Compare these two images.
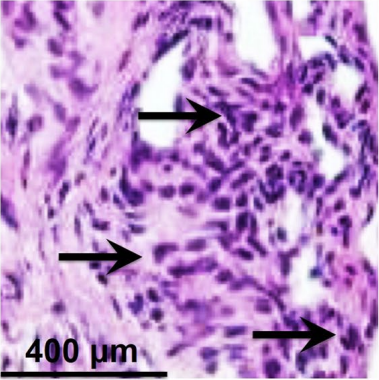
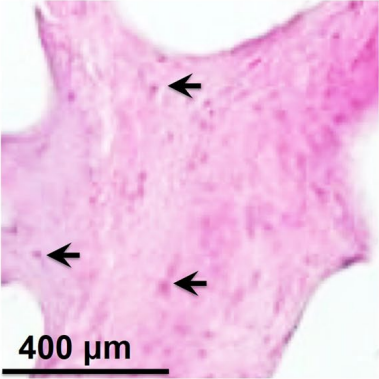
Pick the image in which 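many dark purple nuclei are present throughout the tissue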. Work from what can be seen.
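First image: numerous dark purple oval and elongated nuclei crowd the tissue.
Answer: the first image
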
